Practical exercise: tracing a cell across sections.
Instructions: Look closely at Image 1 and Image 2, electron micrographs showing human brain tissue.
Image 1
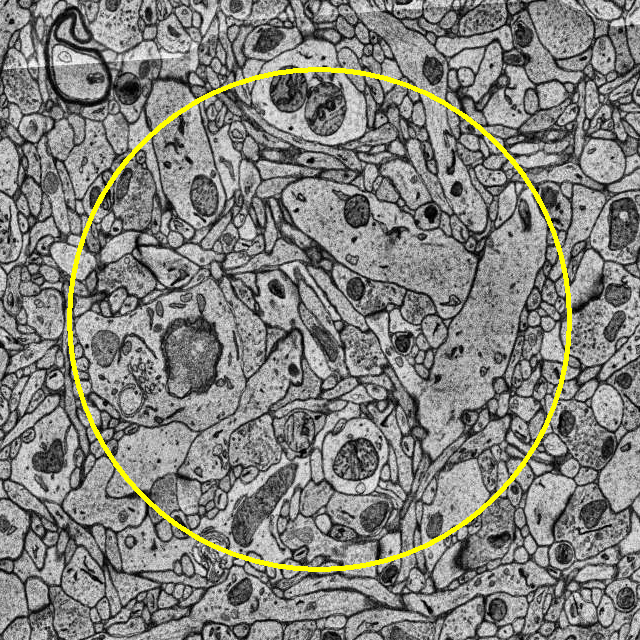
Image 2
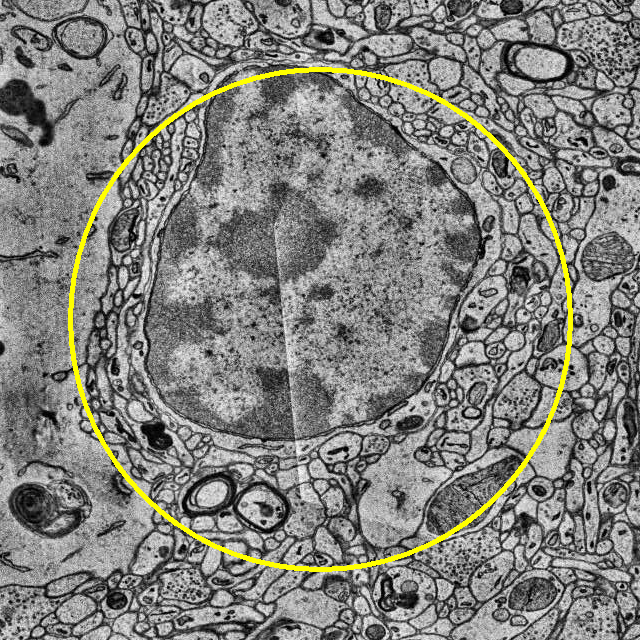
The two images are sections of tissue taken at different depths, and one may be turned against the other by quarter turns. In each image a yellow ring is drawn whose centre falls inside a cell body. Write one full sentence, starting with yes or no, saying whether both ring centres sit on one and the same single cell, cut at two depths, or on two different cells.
No, two distinct cells are each enclosed by a yellow ring.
